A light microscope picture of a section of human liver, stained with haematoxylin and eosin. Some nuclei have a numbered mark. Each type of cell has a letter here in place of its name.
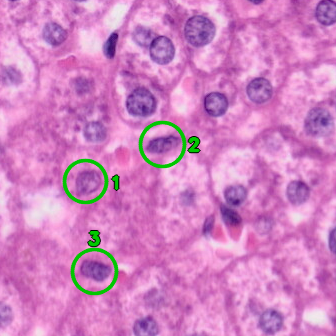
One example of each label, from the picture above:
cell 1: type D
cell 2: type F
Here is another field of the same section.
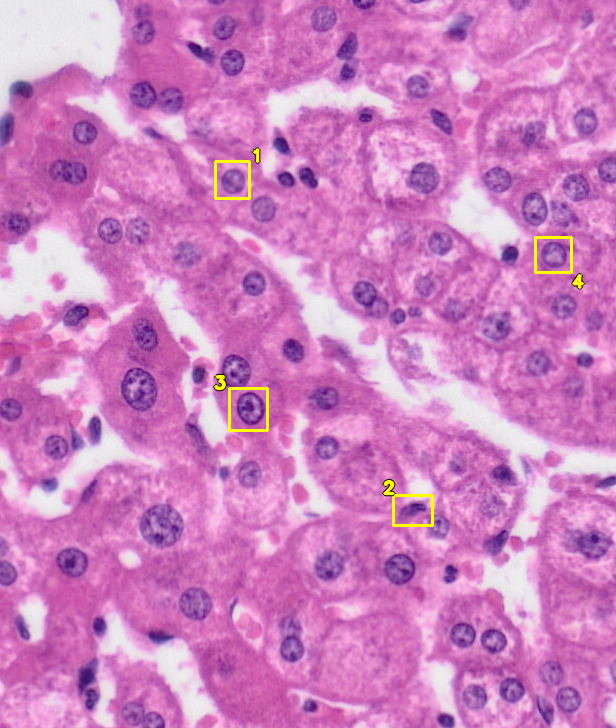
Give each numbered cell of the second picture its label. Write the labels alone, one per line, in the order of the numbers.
type D
type F
type D
type D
